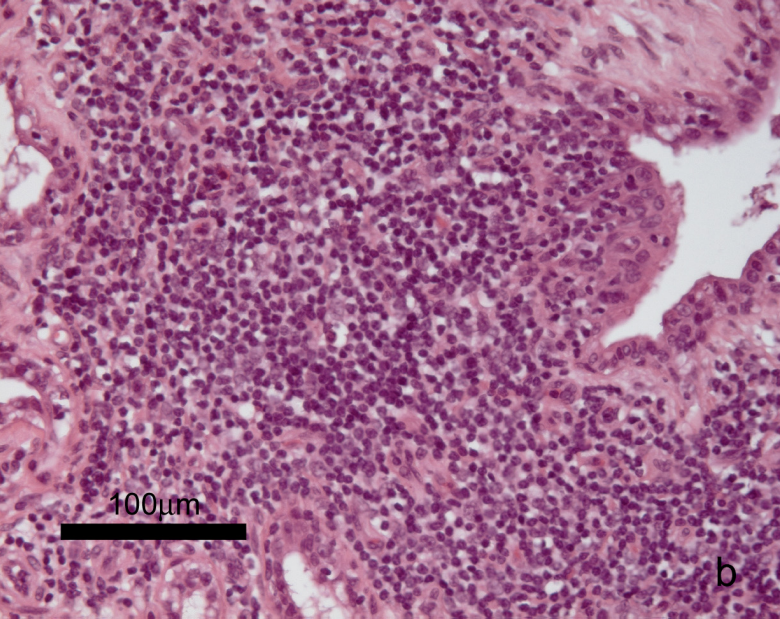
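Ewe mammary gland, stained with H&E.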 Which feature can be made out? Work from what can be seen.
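Dense sheets of small round cells with dark round nuclei and scant cytoplasm fill most of the field. The crowded small round cells lie in the stroma beneath an epithelium lining a lumen at upper right.
Lymphoid aggregates.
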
